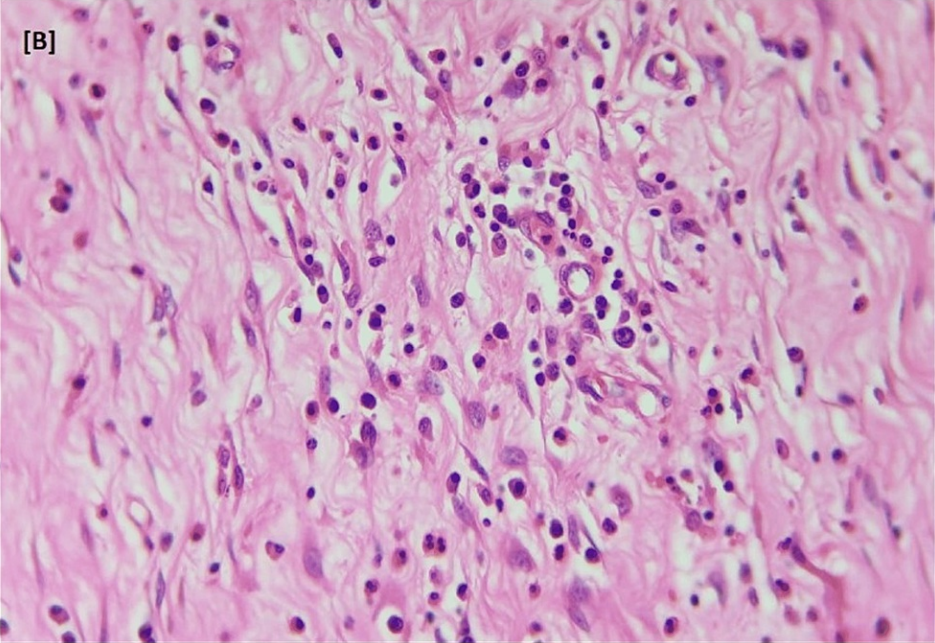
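This field shows a cellular infiltrate of spindle cells lying in a pink, loosely fibrillar collagenous stroma. The spindle cells have elongated, oval to tapered pale purple nuclei and ill-defined eosinophilic cytoplasm. They run roughly in parallel, streaming along the direction of the collagen fibres. Scattered among them are many small cells with round, dense, dark purple nuclei, which are most numerous in the centre of the field. A few cells with somewhat larger or irregular nuclei are present. Small vessel-like lumina are seen within the cellular area.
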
